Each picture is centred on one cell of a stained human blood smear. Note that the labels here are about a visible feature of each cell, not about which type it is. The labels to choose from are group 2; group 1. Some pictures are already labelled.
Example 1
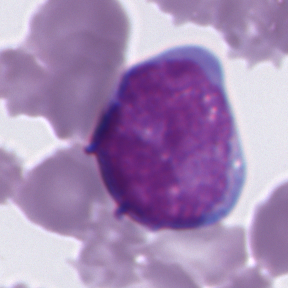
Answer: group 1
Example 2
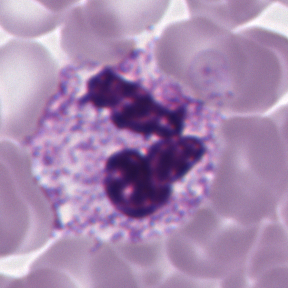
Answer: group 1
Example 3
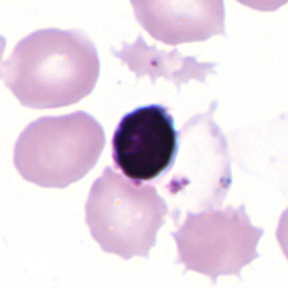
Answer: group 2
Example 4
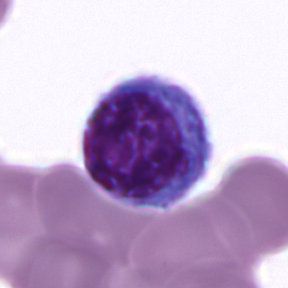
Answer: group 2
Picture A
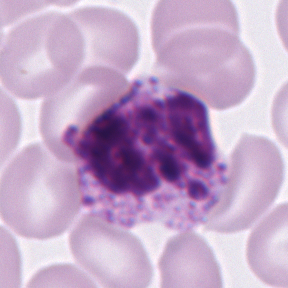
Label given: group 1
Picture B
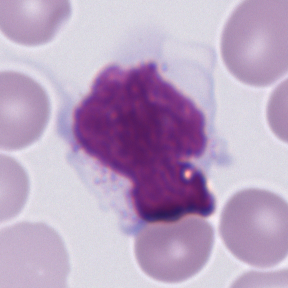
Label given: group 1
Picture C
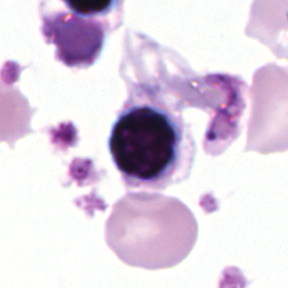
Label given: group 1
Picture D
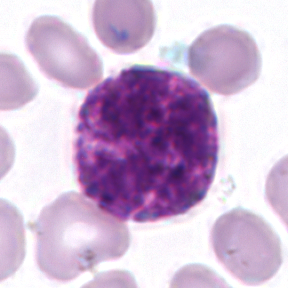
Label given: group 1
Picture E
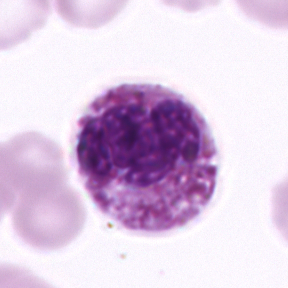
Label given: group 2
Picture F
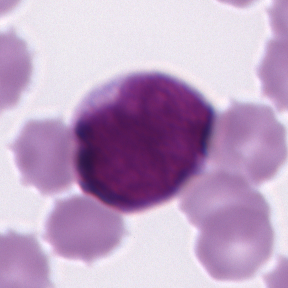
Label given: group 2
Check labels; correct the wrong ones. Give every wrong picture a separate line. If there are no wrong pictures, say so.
D is labelled group 1; correct label: group 2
